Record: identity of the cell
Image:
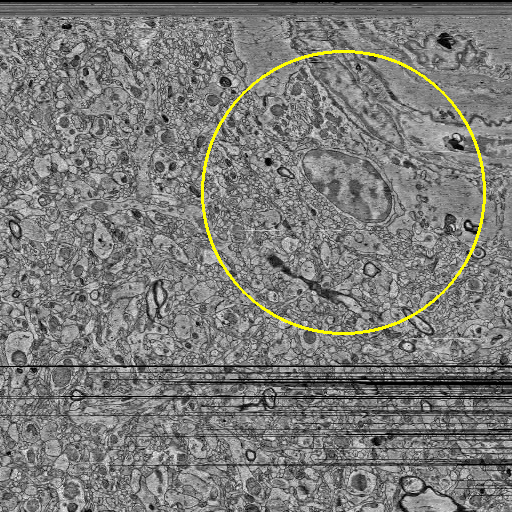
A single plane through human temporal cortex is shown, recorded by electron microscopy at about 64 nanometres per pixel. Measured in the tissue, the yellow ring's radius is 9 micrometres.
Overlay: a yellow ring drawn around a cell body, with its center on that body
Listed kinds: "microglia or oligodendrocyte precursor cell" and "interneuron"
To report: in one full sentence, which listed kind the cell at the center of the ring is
In the image, the cell body at the ring's center belongs to a microglial cell or oligodendrocyte precursor cell.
